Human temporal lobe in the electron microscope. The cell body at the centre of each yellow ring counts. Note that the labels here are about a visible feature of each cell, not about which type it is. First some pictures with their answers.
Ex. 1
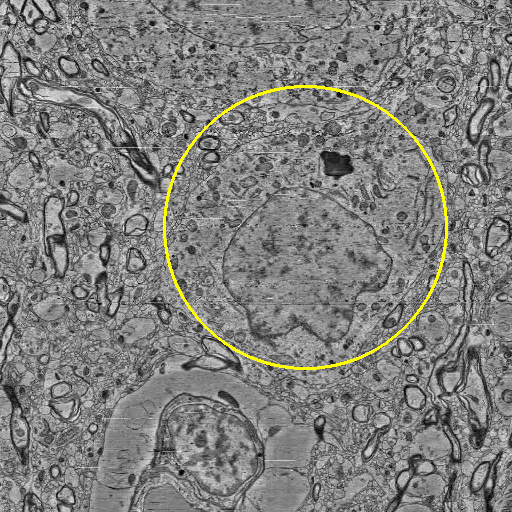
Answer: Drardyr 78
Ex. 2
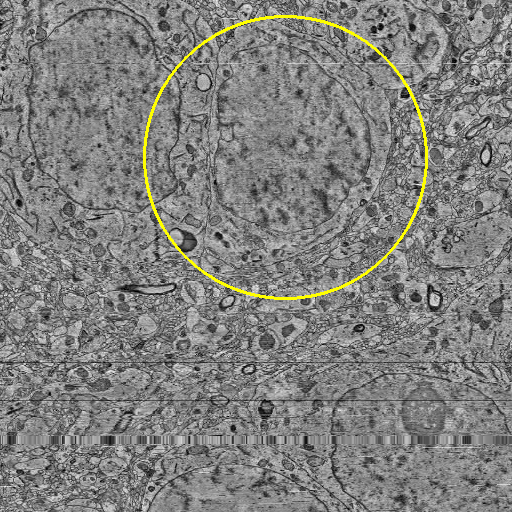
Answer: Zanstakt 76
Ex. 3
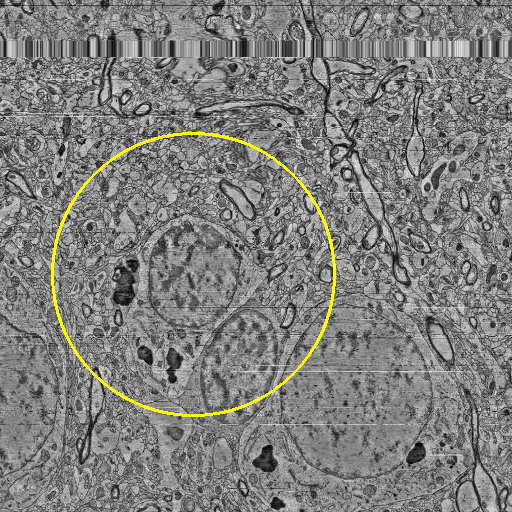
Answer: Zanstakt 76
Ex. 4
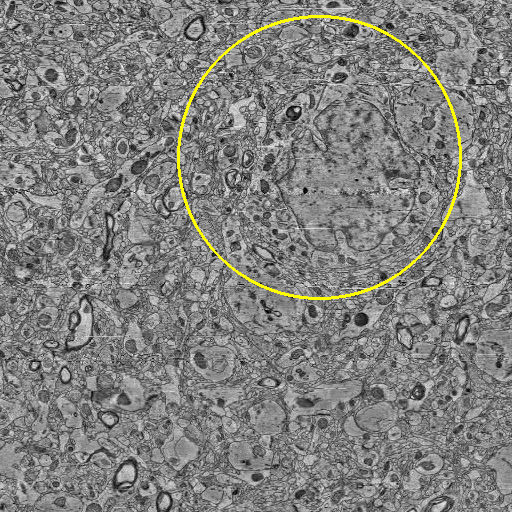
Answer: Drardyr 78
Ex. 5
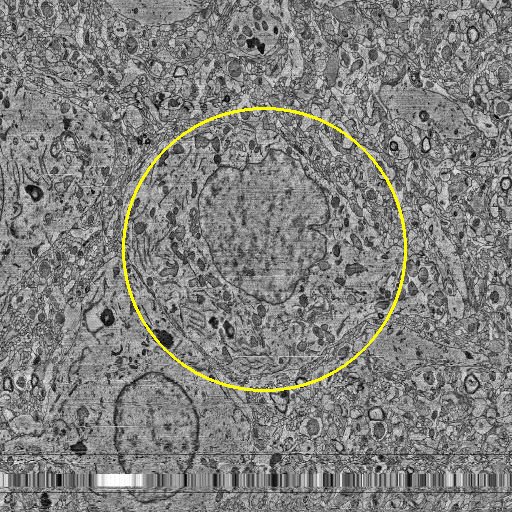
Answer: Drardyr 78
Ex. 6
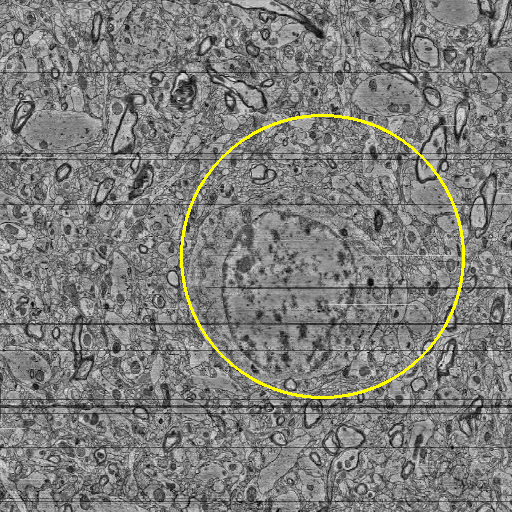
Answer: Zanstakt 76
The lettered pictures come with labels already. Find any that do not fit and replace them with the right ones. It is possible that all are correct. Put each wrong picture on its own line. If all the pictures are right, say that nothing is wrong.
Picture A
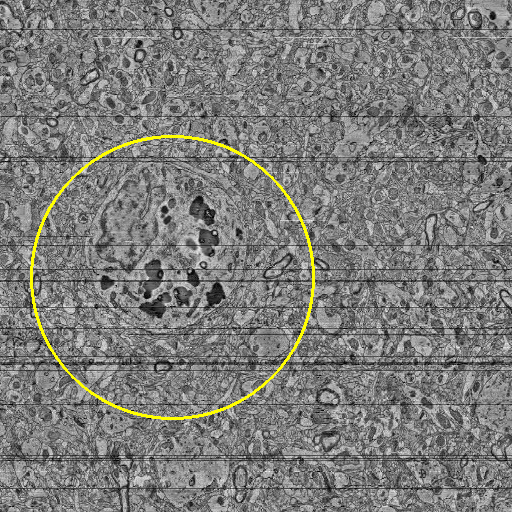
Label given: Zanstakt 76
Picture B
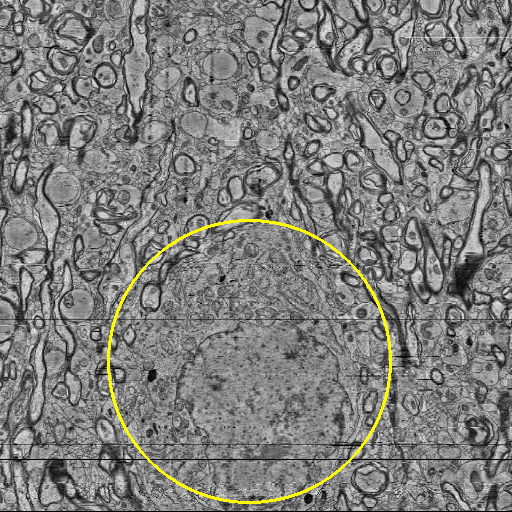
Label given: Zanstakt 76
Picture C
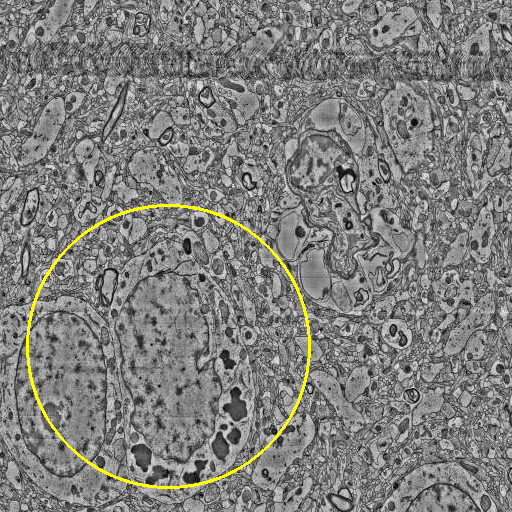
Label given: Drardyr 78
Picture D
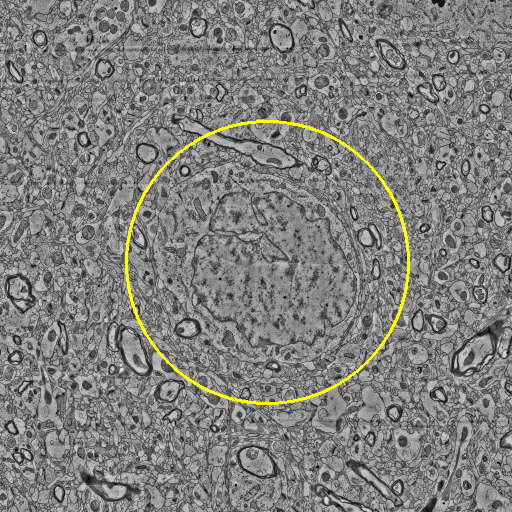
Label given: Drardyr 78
A: change Zanstakt 76 to Drardyr 78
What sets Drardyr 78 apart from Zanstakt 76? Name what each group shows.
Drardyr 78: deeply folded or indented nuclear envelopes; Zanstakt 76: smooth nuclear envelopes without deep folds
